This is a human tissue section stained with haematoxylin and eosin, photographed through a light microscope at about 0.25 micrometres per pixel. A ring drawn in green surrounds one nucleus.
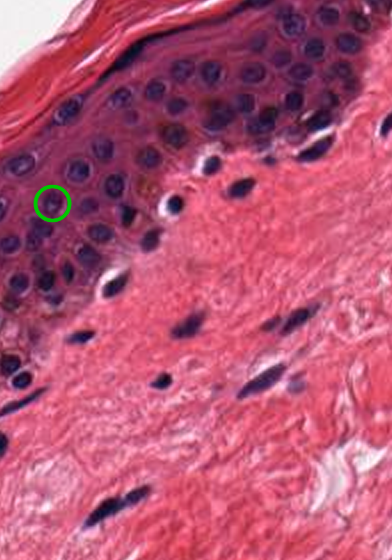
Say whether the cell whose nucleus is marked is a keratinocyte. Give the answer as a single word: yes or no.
yes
